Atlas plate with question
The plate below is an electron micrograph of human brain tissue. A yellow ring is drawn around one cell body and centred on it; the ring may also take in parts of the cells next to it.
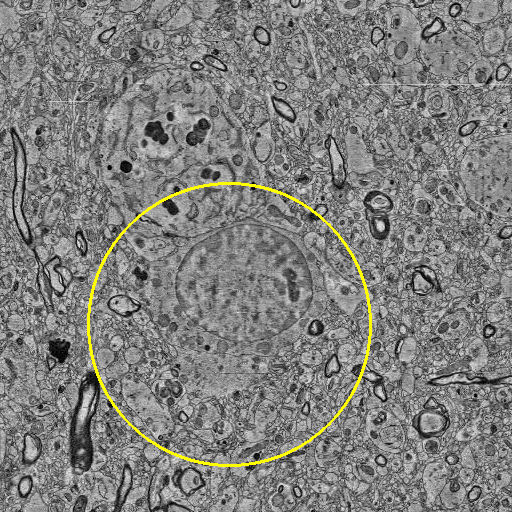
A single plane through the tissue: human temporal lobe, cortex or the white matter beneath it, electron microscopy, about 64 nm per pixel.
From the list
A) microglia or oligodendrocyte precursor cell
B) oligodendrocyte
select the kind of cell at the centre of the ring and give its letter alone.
B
